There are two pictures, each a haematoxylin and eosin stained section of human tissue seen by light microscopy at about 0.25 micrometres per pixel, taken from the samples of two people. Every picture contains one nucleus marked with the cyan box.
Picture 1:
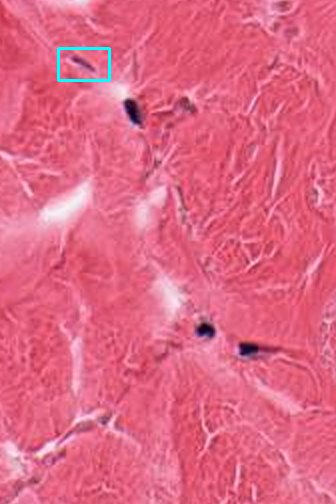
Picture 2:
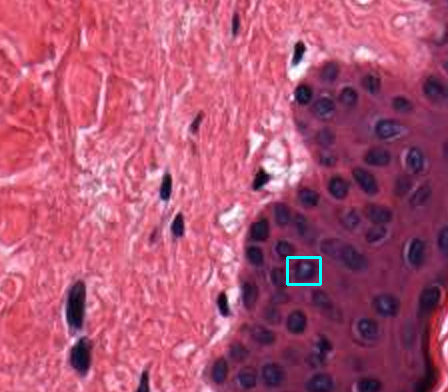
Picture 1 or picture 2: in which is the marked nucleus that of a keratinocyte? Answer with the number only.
2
